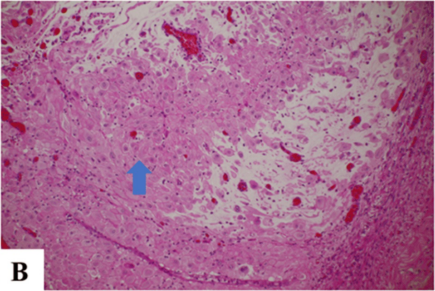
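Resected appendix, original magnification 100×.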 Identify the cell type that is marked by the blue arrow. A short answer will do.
Decidual cells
